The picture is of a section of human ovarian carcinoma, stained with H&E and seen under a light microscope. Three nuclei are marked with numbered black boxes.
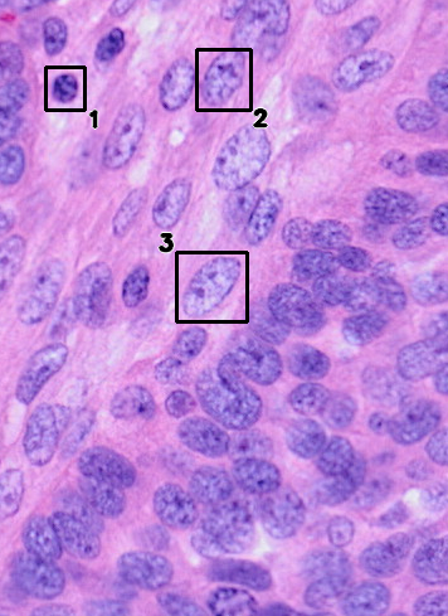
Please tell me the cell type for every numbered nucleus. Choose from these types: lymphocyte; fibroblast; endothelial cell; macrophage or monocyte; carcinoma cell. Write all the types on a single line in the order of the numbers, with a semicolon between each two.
lymphocyte; fibroblast; fibroblast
